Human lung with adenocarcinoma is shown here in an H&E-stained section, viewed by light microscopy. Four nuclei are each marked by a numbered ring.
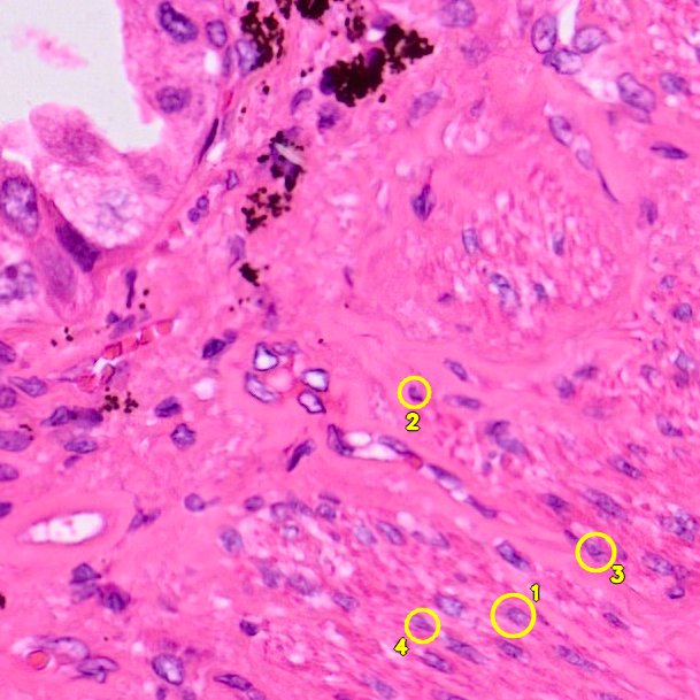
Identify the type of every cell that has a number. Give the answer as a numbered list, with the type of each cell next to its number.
1. smooth muscle cell or pericyte
2. mast cell
3. smooth muscle cell or pericyte
4. smooth muscle cell or pericyte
